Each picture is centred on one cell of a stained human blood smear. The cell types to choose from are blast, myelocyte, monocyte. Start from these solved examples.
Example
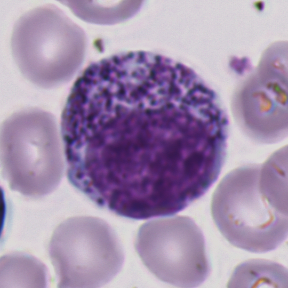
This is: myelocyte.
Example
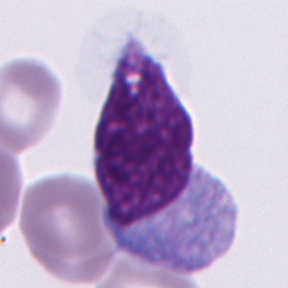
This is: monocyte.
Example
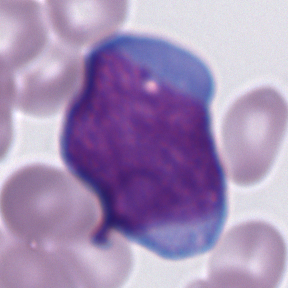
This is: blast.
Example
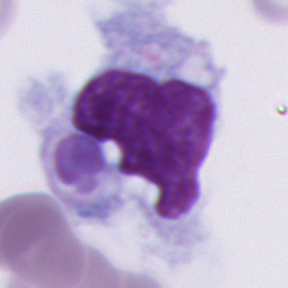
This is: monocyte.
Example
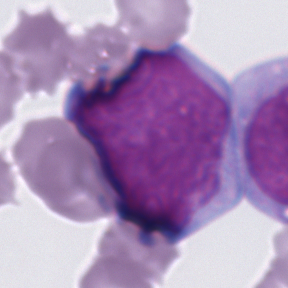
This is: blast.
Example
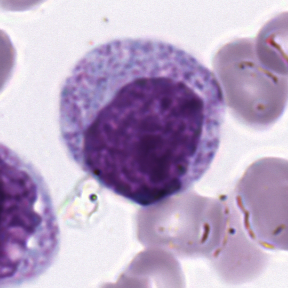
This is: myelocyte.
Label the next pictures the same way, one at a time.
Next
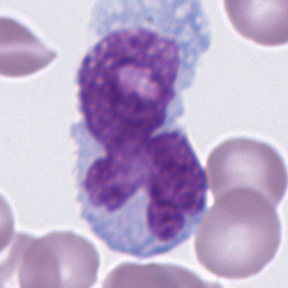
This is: monocyte.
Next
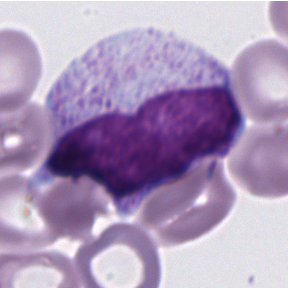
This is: myelocyte.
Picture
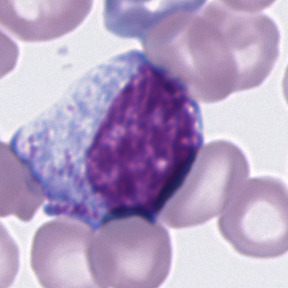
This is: myelocyte.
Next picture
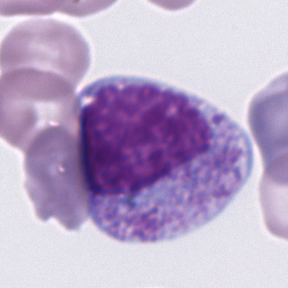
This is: myelocyte.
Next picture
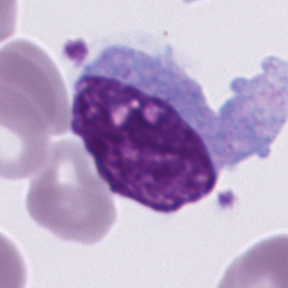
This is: monocyte.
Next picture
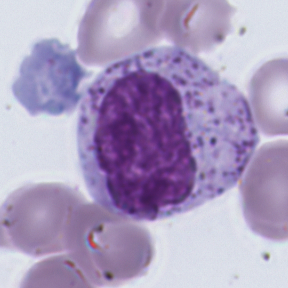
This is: myelocyte.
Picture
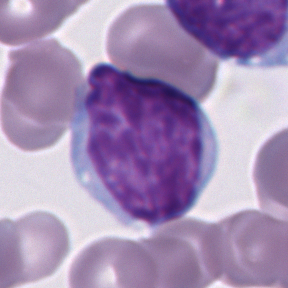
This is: blast.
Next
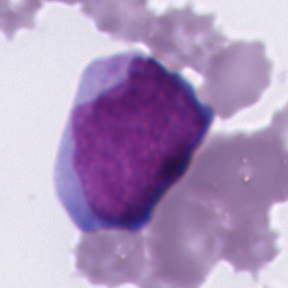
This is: blast.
